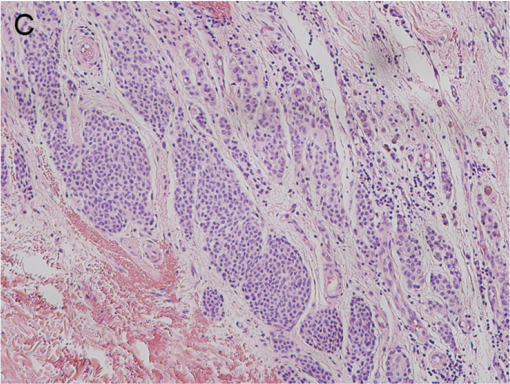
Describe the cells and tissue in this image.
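Dermal nevus nests lie within the dermis as small rounded and elongated clusters of small, uniform cells with round, dark-blue nuclei and scant cytoplasm. The nests are separated by strands of pink collagen, and scattered lymphocytes and a few brown pigment-laden cells lie between them.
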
